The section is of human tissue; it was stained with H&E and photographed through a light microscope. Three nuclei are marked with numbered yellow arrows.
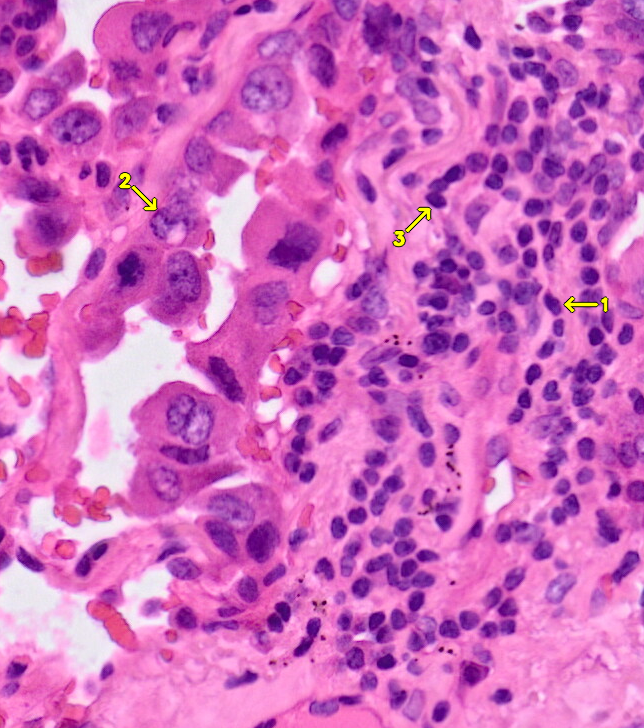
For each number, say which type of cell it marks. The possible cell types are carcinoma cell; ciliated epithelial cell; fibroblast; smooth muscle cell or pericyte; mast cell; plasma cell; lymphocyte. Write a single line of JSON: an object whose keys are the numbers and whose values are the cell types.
{"1": "lymphocyte", "2": "carcinoma cell", "3": "lymphocyte"}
